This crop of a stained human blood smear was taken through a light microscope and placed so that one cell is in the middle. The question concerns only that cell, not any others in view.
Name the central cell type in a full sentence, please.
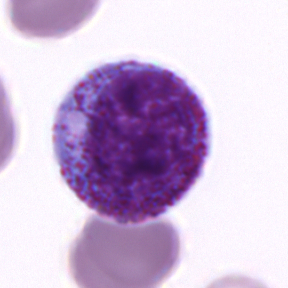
Of the cells in this crop, the central one is a promyelocyte.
